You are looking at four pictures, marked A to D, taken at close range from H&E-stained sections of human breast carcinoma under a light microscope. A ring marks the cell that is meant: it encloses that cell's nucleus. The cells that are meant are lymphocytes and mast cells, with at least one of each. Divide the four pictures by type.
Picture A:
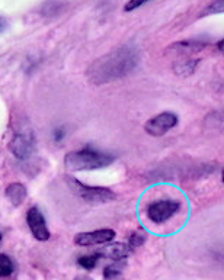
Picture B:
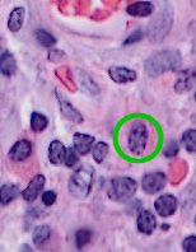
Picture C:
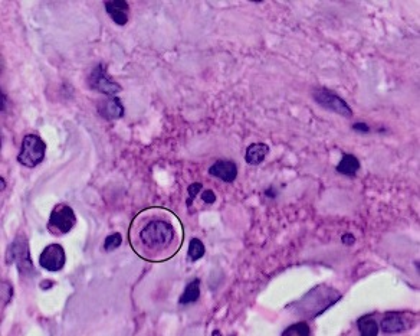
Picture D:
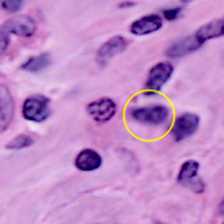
A: lymphocyte
B: mast cell
C: mast cell
D: lymphocyte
